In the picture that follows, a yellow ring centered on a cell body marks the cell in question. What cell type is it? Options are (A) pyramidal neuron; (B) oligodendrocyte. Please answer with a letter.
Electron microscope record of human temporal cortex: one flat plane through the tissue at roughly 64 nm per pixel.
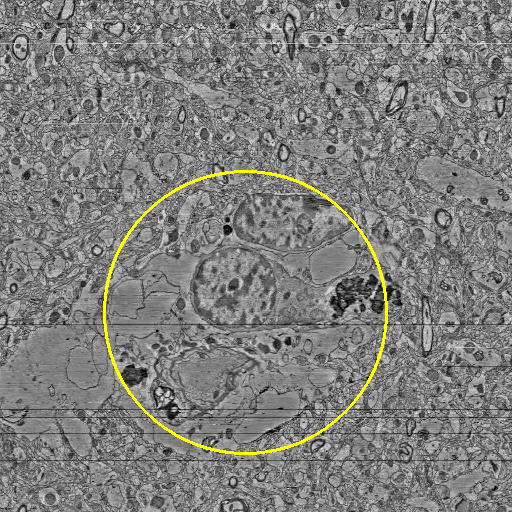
B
